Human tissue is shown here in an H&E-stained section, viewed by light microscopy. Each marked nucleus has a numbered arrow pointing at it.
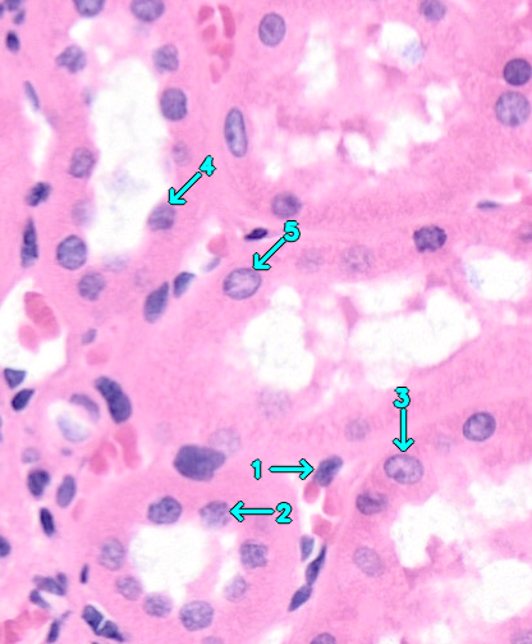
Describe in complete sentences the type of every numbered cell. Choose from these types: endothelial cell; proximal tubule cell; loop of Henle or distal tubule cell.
Cell 1 is an endothelial cell, cell 2 is a loop of Henle or distal tubule cell, cell 3 is a proximal tubule cell, cell 4 is a loop of Henle or distal tubule cell and cell 5 is a proximal tubule cell.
